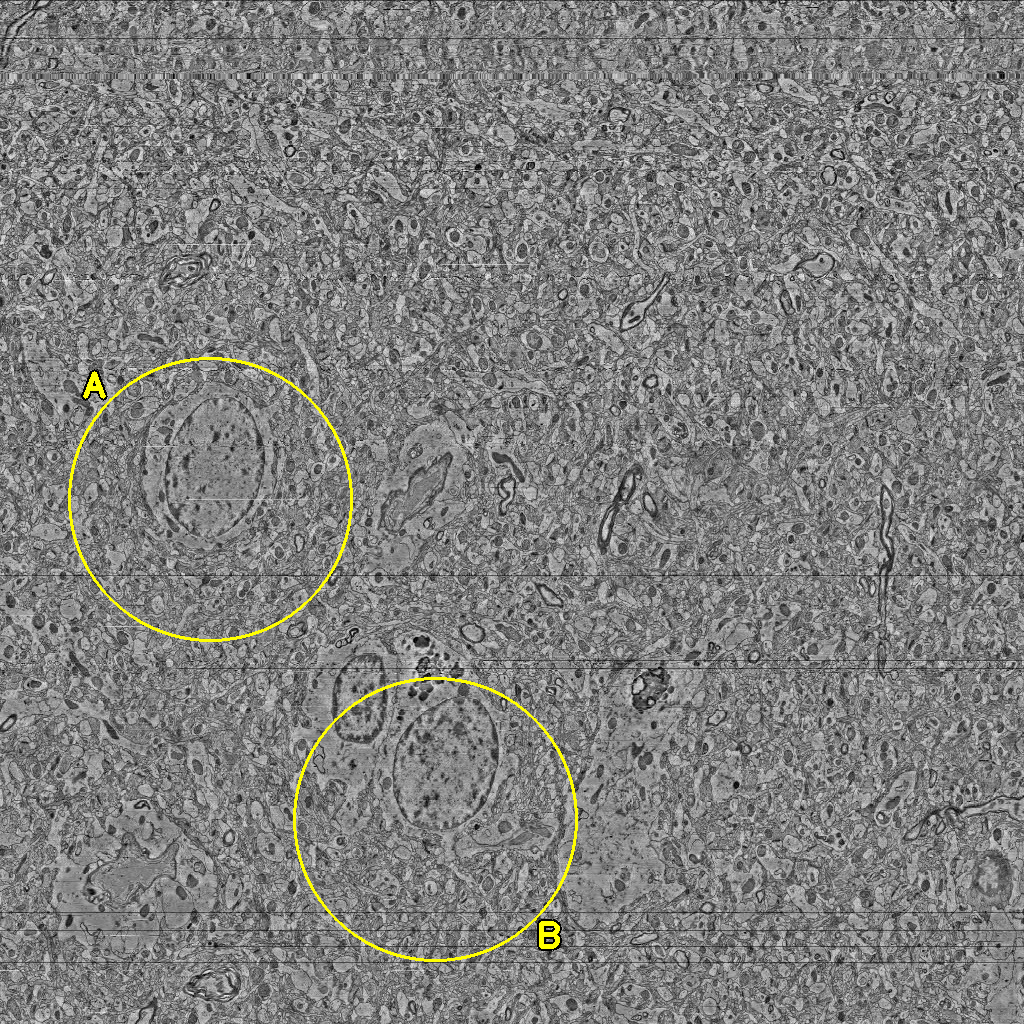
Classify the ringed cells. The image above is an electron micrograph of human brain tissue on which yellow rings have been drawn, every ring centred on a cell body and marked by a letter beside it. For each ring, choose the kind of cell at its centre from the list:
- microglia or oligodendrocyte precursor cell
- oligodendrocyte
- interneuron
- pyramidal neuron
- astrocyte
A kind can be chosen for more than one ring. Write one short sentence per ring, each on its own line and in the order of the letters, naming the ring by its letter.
Ring A is placed around an astrocyte.
Ring B is placed around an astrocyte.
